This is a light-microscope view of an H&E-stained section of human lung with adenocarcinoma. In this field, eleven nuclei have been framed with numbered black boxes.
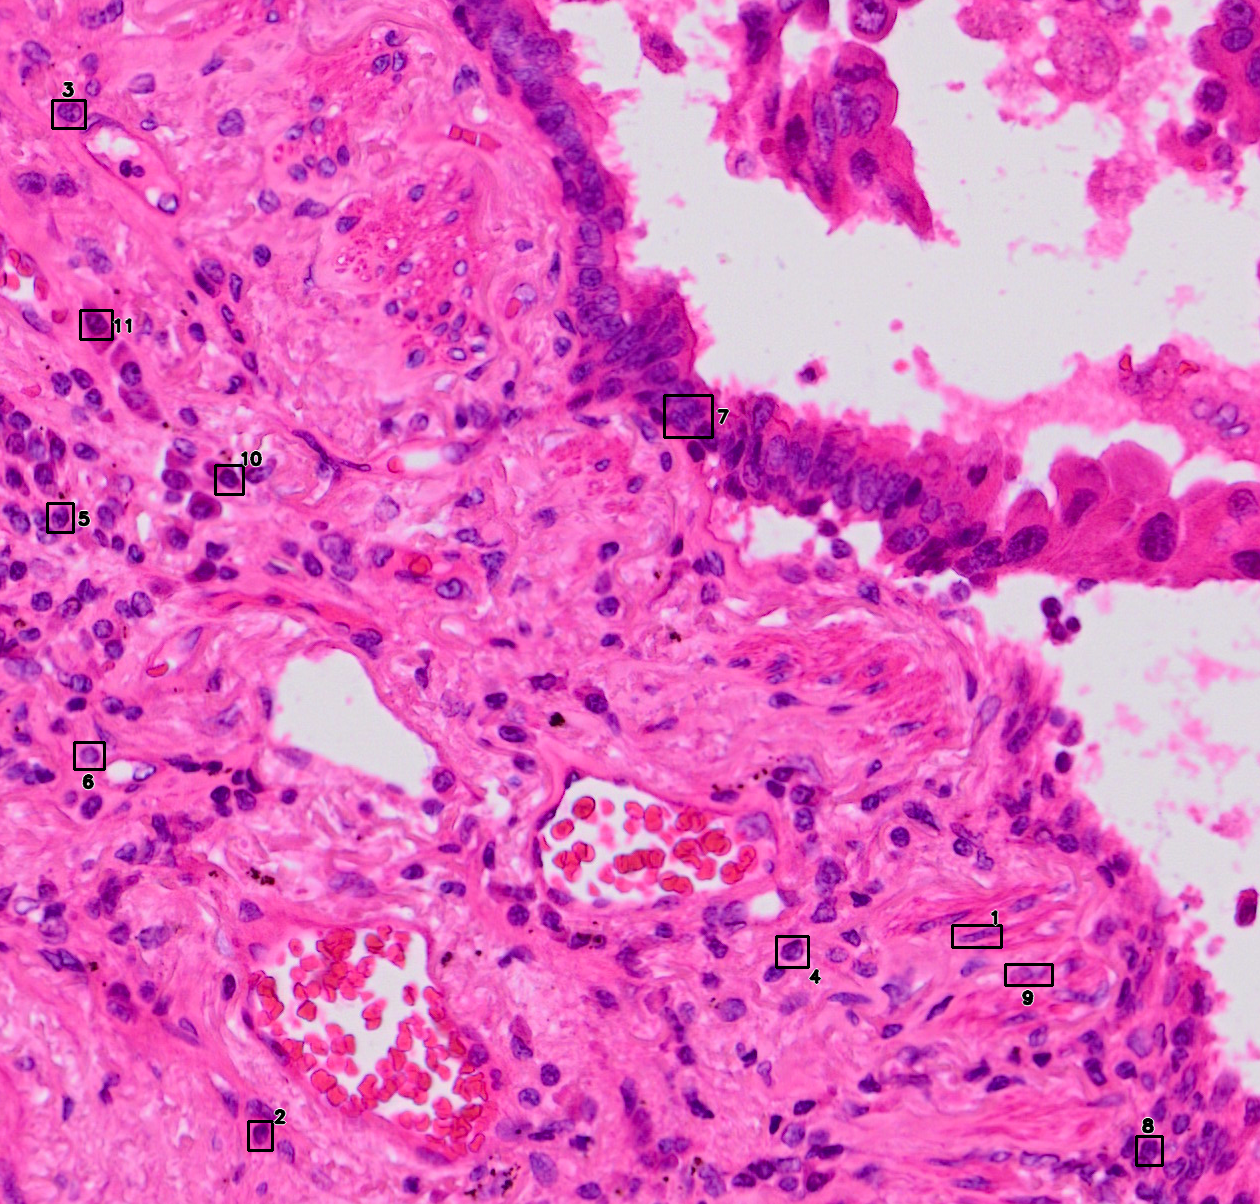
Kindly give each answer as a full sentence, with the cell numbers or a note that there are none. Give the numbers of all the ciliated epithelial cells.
Cell 7 is the one numbered cell that is a ciliated epithelial cell.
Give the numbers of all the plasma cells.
The cells picked out by numbers 2, 3, 10 and 11 are plasma cells.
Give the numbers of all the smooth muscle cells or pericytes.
To be specific, the cells numbered 1 and 9 are smooth muscle cells or pericytes.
